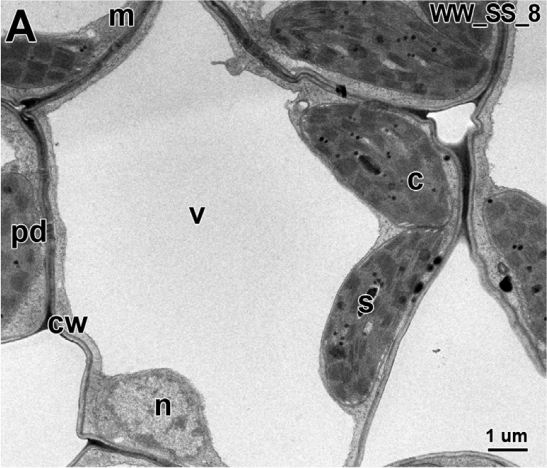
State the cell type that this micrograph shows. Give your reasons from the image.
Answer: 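Cells with thin walls and a large central vacuole. Several lens-shaped chloroplasts with stacked internal membranes lie along the cell periphery. The answer: mesophyll cells.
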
